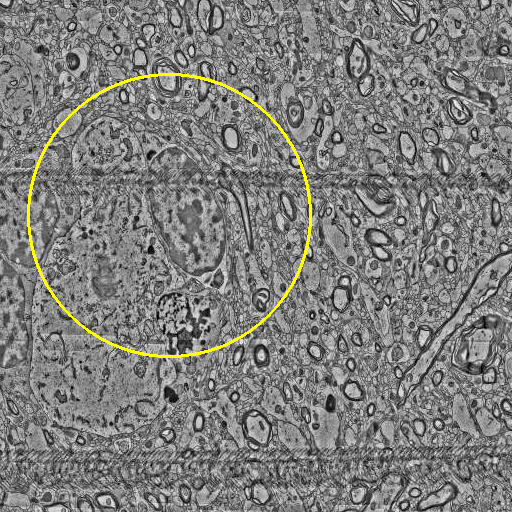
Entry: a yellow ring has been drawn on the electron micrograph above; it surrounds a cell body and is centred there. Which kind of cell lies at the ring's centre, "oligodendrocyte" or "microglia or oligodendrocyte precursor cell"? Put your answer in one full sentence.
The cell sitting at the ring's centre is a microglial cell or oligodendrocyte precursor cell in the micrograph above.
